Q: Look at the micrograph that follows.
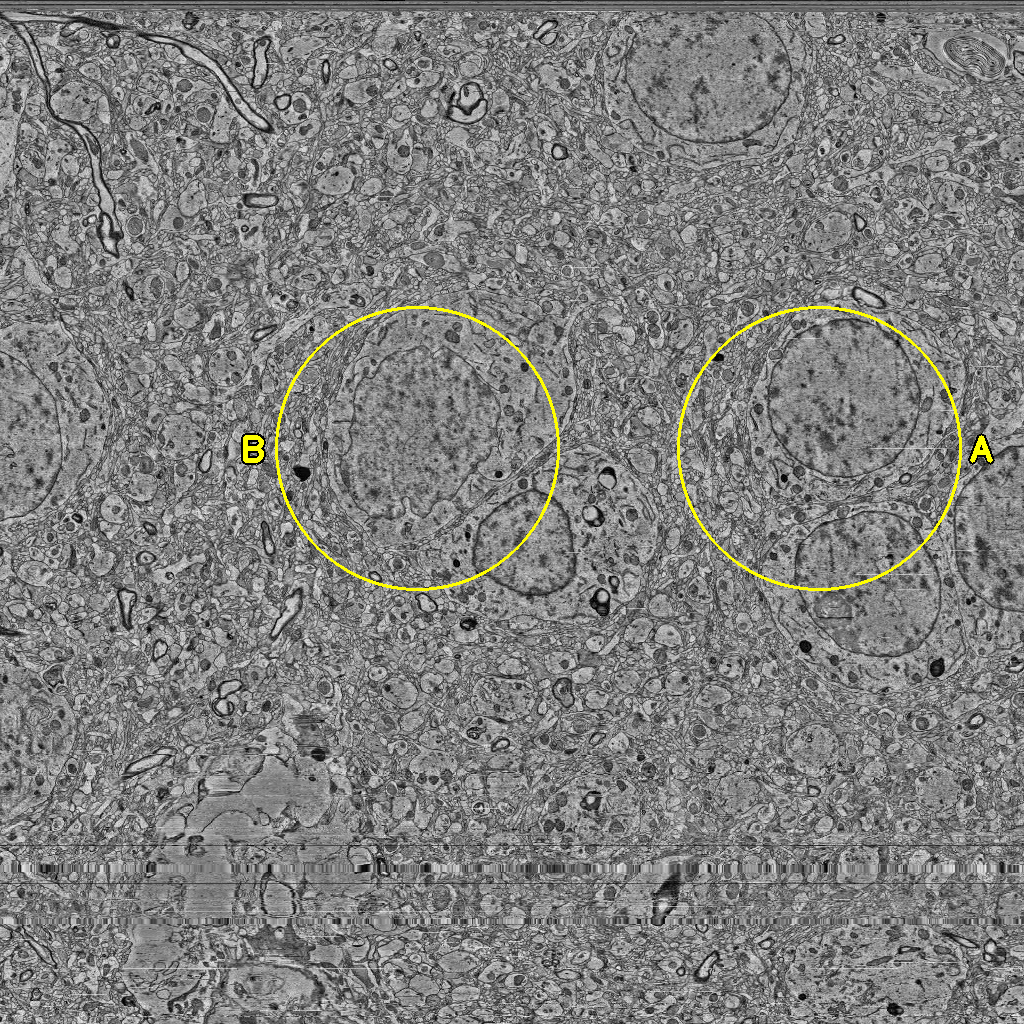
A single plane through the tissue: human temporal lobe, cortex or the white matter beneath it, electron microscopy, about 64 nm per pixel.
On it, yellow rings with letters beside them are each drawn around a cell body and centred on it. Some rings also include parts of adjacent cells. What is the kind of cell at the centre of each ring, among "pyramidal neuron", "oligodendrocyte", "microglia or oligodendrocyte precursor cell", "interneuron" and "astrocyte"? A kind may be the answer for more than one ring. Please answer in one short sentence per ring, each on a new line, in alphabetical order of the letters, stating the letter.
Ring A surrounds the cell body of a pyramidal neuron.
Ring B surrounds the cell body of an interneuron.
